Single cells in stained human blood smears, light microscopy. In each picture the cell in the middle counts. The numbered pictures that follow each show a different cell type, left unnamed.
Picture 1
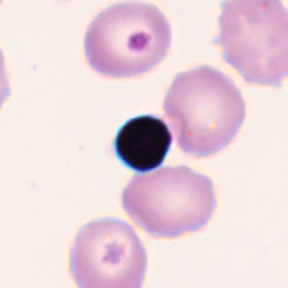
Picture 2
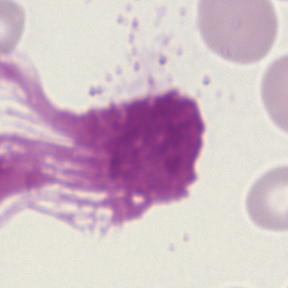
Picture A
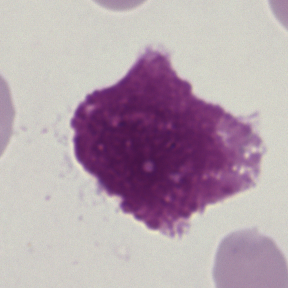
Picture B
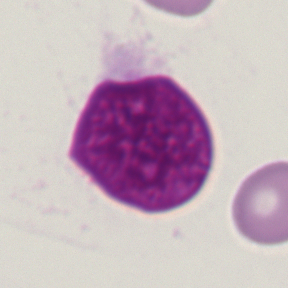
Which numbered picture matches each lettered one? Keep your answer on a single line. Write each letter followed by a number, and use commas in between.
A 2, B 2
